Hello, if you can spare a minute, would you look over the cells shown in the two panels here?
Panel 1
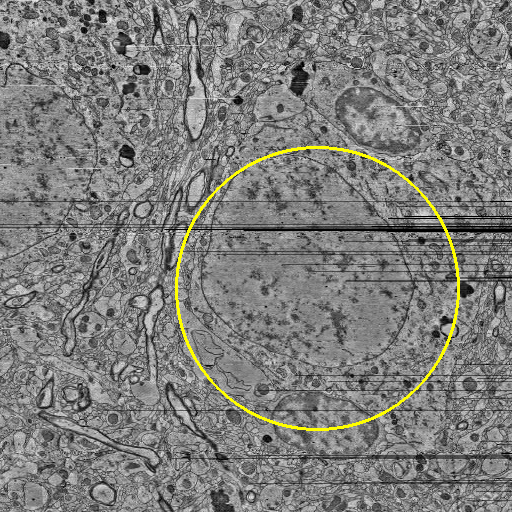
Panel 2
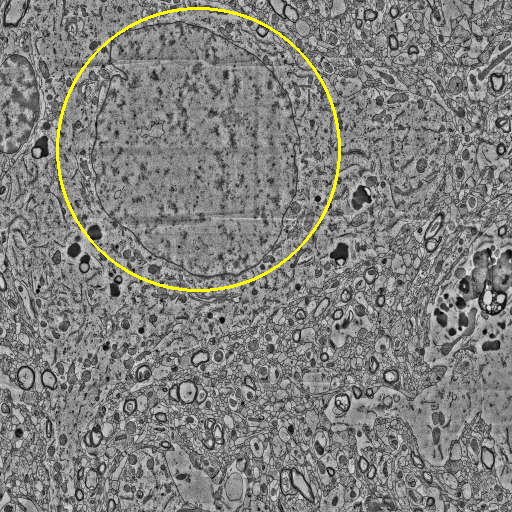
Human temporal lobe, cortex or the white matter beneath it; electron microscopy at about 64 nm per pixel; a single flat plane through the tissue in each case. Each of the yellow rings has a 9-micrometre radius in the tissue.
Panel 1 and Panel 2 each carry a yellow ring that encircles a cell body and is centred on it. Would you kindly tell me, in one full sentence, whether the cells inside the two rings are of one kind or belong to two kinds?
The cells at the centres of the rings in Panel 1 and Panel 2 are of one kind.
